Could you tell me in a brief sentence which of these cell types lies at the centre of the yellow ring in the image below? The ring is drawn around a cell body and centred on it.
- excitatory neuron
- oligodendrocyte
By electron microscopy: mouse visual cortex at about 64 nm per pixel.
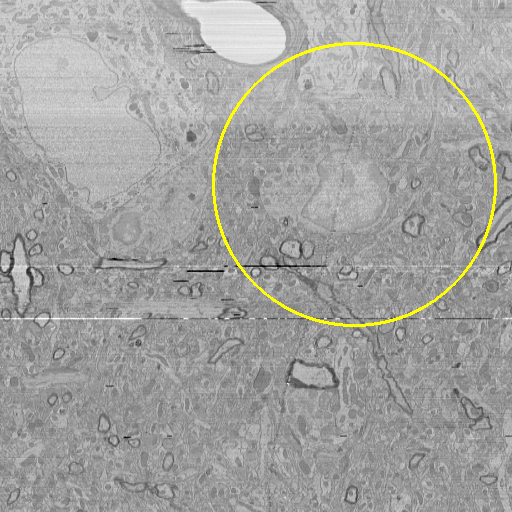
The cell centred in the ring is an oligodendrocyte.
